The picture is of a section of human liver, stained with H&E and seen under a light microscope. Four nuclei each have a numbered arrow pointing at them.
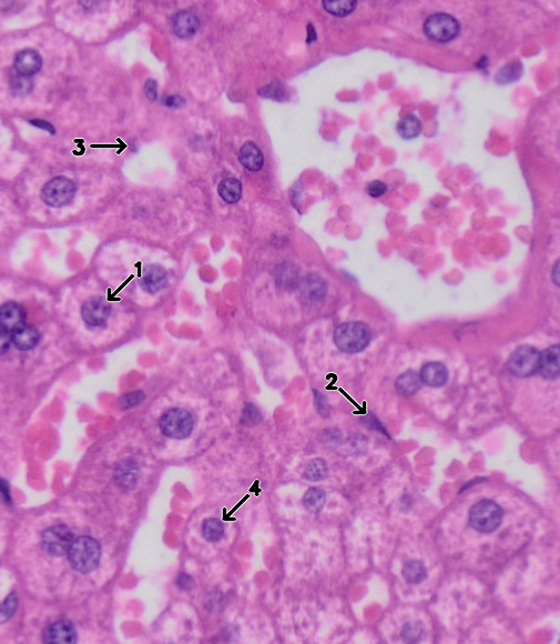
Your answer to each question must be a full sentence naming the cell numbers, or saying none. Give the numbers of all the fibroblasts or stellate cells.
Cell 2, and no other numbered cell, is a fibroblast or stellate cell.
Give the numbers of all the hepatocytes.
The cells marked by the numbers 1 and 4 are hepatocytes.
